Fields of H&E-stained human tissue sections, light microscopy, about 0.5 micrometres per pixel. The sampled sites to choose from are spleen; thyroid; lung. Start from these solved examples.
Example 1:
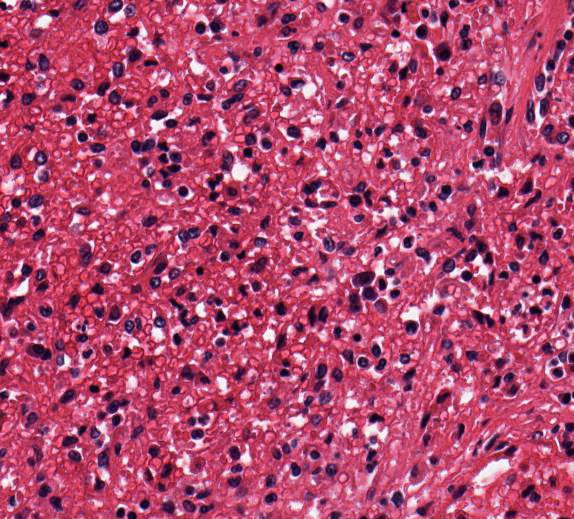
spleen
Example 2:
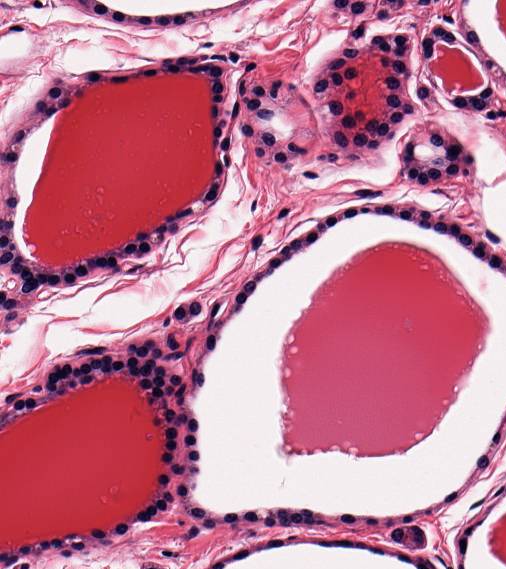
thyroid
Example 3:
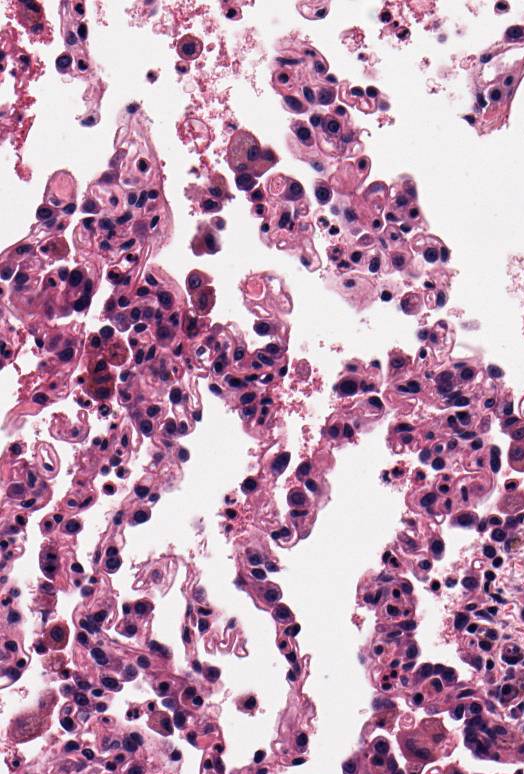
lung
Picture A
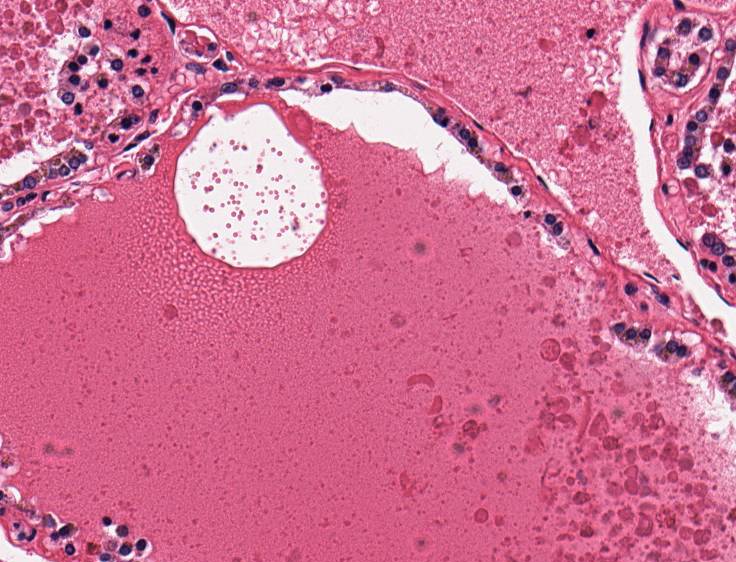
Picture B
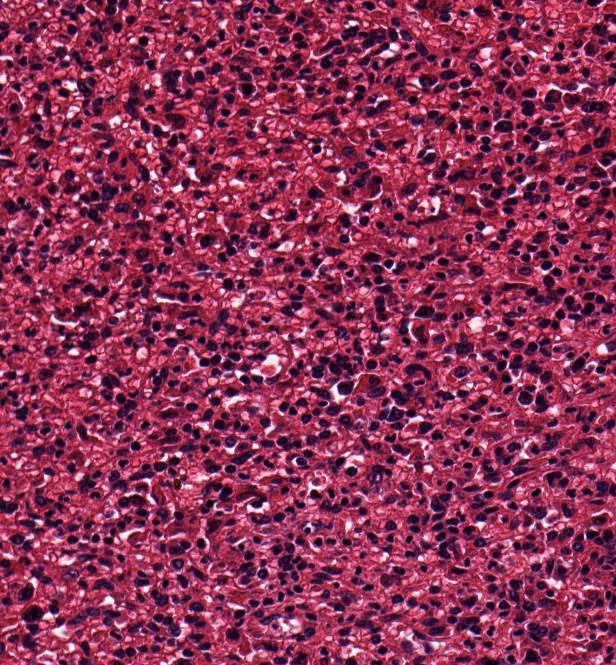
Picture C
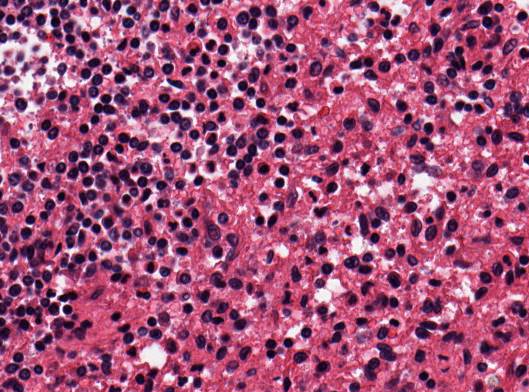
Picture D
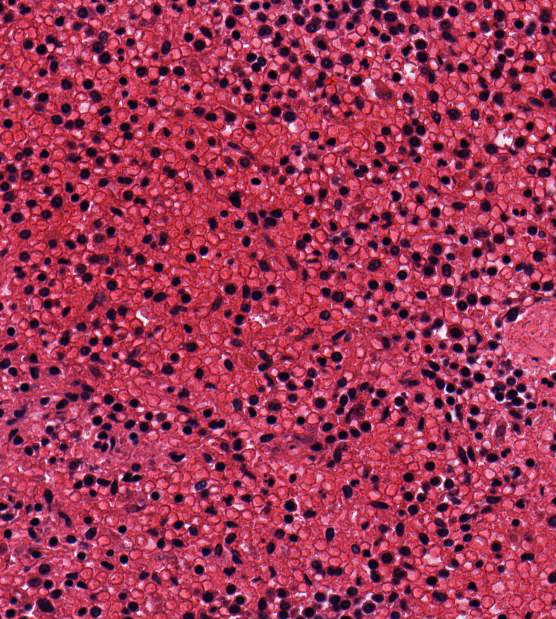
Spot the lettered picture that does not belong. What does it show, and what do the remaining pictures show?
A: thyroid; all the others: spleen.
